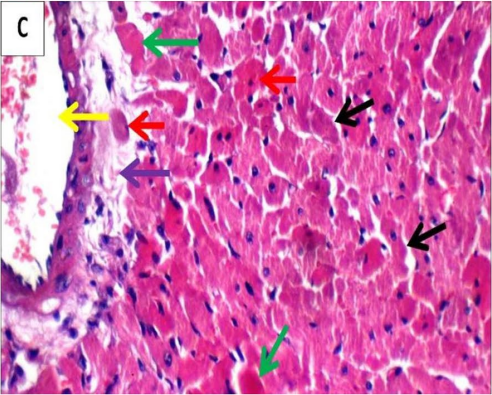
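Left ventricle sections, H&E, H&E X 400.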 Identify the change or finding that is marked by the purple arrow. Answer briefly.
Peri-vascular edema.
